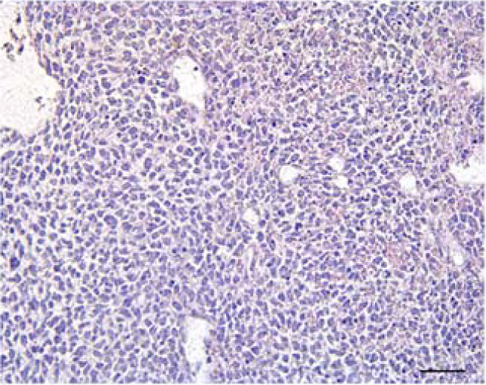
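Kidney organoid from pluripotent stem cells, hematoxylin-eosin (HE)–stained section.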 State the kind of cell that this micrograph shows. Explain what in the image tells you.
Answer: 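Monomorphic mesenchymal-like cells. The section is filled with closely packed cells of similar size and shape. No tubule or rounded epithelial structures are formed. Cells lie in a sheet without organized layers.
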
